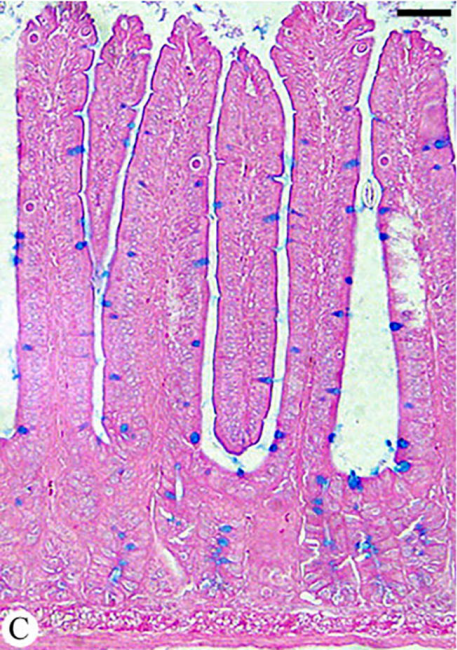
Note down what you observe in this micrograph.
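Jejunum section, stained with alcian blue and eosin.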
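Intestinal mucosa with long, parallel, finger-like villi lined by pink-stained columnar epithelium with a pale central core, and crypts packed at the base above a thin muscular layer. Goblet cells show as round blue-stained bodies interspersed along the villus epithelium and grouped among the crypts.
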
